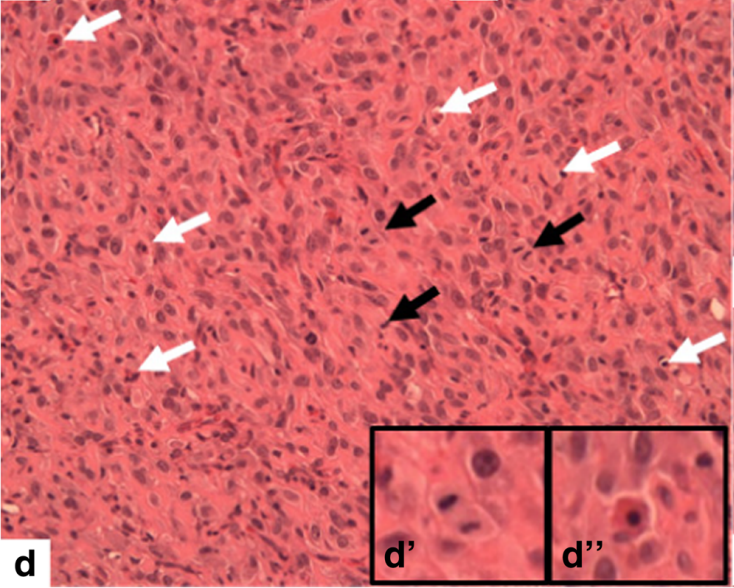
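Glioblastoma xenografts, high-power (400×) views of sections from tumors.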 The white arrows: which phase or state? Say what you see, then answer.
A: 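Apoptosis. The marked cells are small and rounded with dark, compact nuclei. Their cytoplasm is pink and condensed.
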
